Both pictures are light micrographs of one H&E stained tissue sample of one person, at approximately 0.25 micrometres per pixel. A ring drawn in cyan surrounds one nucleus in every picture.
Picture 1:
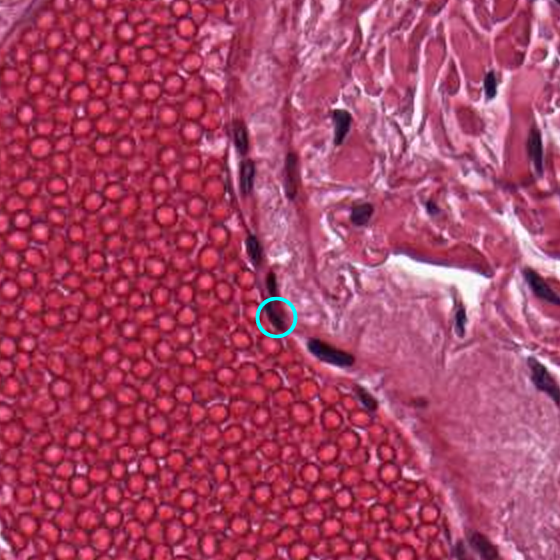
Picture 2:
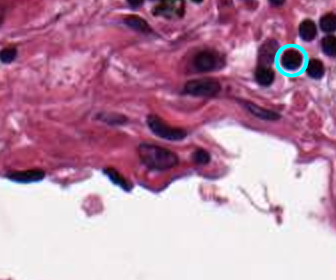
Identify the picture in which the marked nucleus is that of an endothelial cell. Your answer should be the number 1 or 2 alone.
1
